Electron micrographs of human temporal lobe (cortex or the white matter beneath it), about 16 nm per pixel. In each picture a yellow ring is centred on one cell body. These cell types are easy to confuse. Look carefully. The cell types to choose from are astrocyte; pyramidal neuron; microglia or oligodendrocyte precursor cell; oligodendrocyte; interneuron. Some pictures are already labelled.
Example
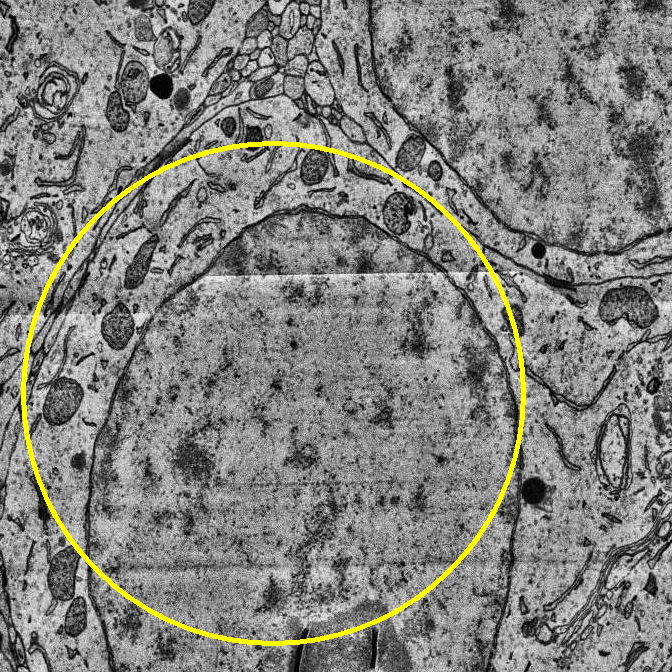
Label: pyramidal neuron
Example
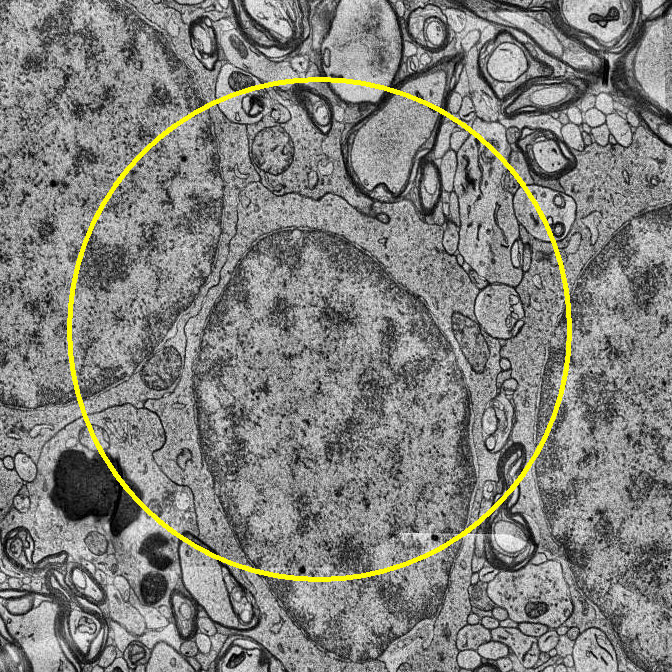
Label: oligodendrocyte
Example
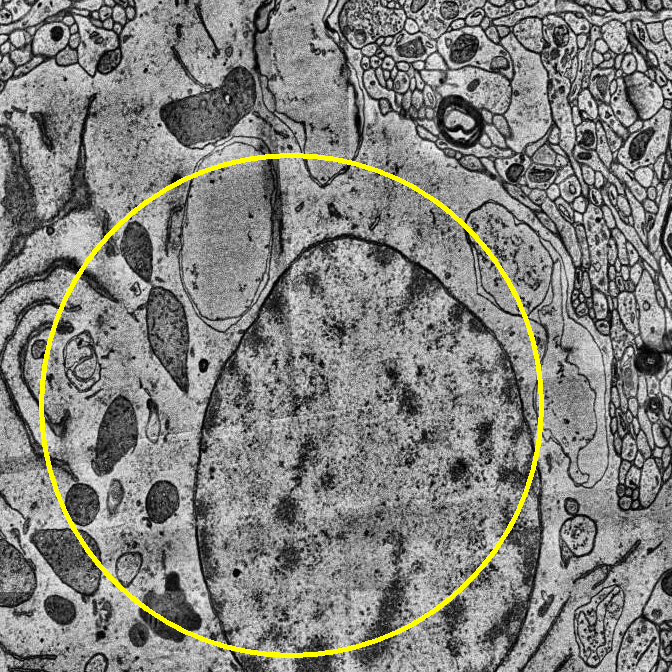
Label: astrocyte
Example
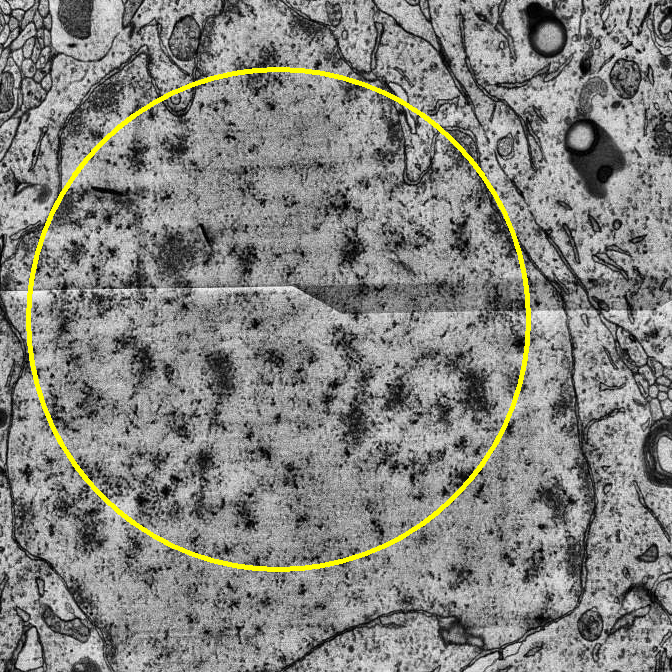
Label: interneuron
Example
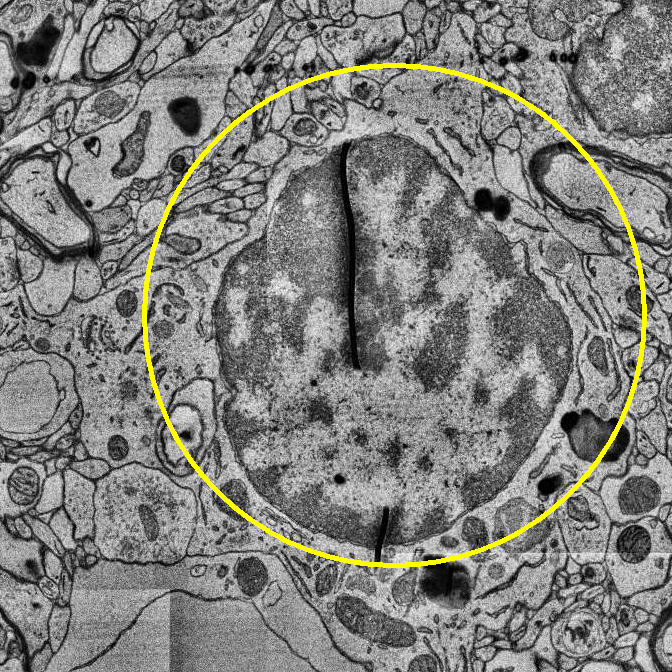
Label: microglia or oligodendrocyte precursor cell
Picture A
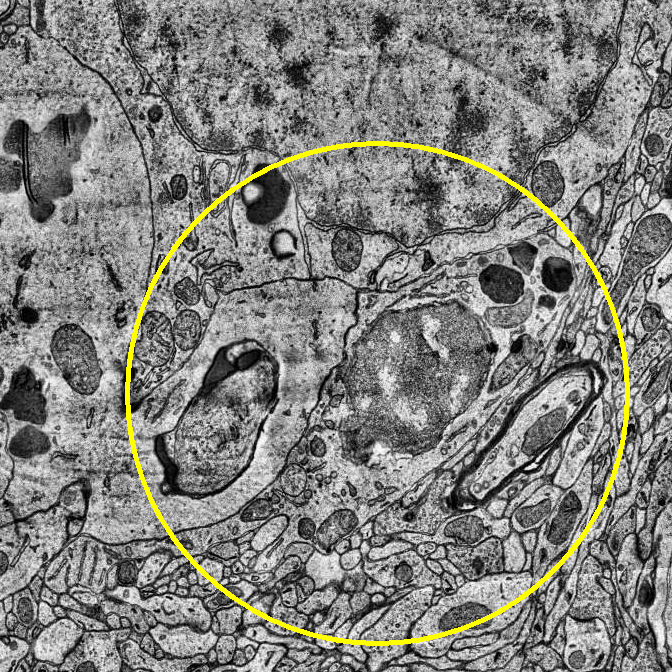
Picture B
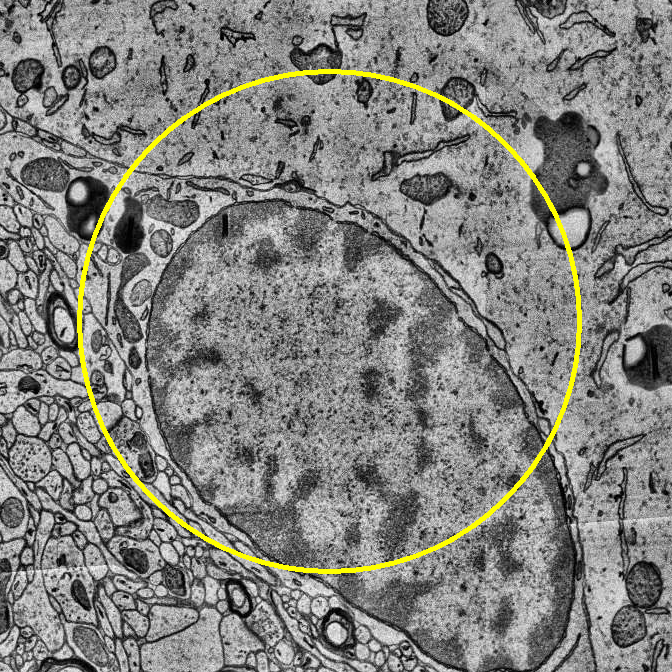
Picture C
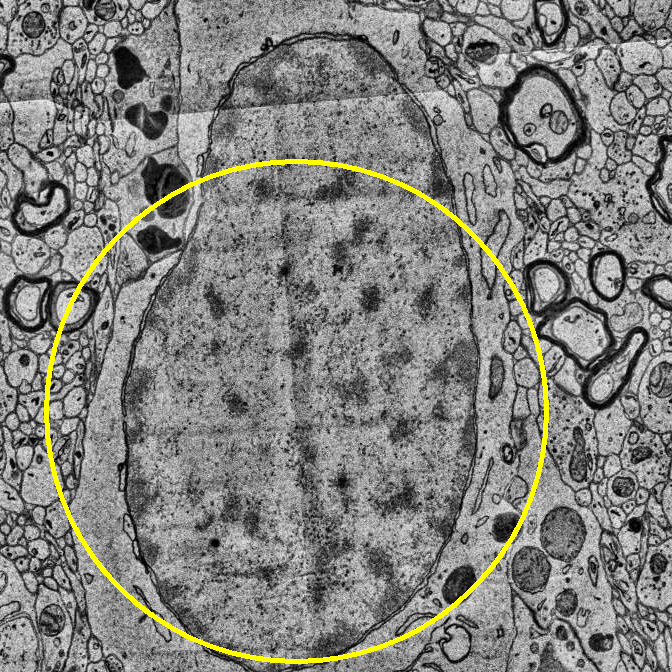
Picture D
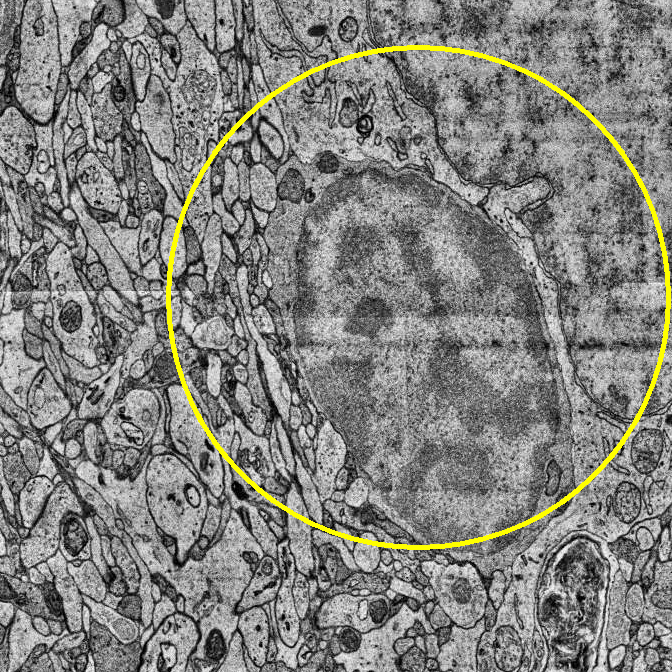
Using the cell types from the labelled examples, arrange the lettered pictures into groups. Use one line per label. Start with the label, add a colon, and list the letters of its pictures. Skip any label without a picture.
microglia or oligodendrocyte precursor cell: A, B, C
oligodendrocyte: D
